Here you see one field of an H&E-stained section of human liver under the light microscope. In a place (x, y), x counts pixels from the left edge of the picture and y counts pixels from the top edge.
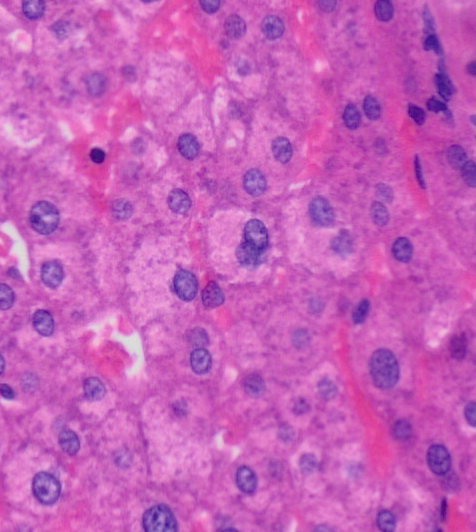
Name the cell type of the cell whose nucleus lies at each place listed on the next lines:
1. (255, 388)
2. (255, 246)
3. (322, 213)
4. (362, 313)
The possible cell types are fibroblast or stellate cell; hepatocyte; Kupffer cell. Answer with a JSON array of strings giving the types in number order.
["hepatocyte", "hepatocyte", "hepatocyte", "fibroblast or stellate cell"]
